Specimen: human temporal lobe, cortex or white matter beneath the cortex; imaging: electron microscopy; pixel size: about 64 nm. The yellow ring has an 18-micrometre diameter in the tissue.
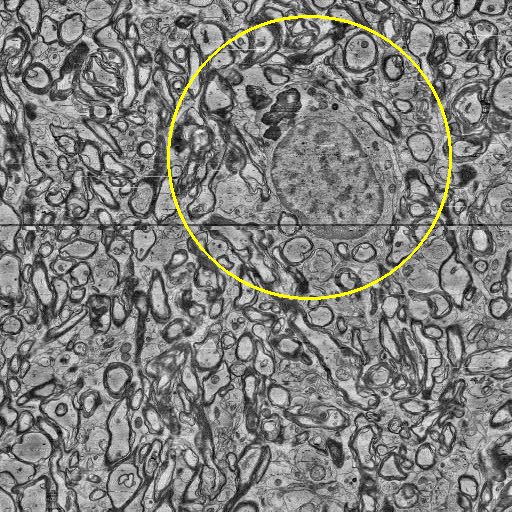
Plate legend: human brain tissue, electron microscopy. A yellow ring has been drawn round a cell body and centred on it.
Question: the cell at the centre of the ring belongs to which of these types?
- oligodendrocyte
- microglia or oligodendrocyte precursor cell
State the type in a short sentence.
The cell in the middle of the ring is an oligodendrocyte.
